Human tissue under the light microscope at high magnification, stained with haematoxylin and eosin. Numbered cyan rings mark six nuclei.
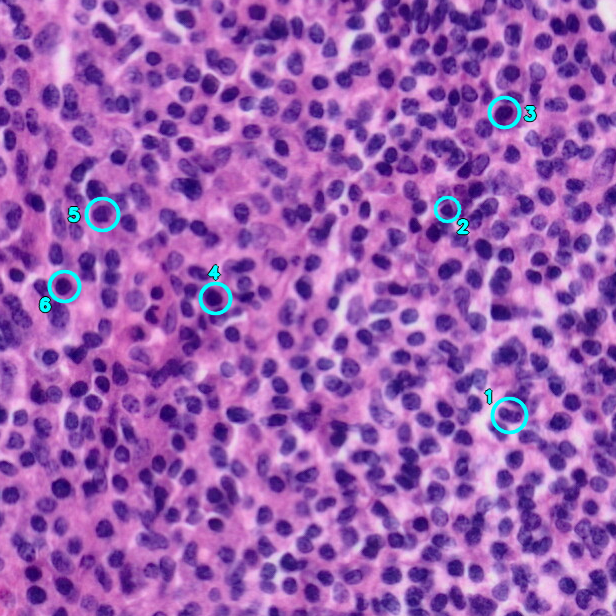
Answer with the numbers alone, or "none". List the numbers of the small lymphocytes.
1, 2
